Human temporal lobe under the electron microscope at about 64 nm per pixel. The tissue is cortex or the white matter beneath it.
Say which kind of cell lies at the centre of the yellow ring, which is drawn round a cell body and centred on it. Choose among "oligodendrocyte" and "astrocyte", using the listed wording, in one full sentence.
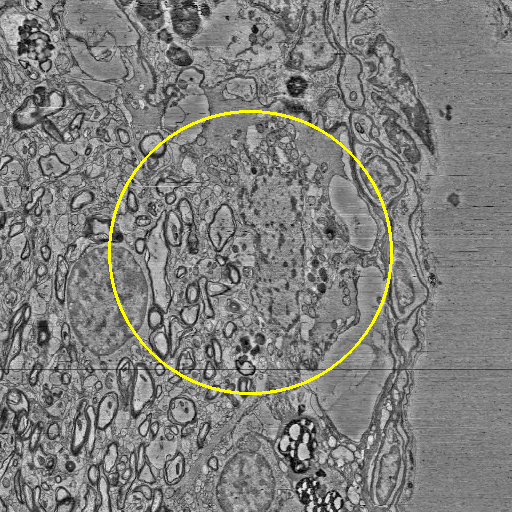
Going by the list, the cell at the yellow ring's centre is an astrocyte.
